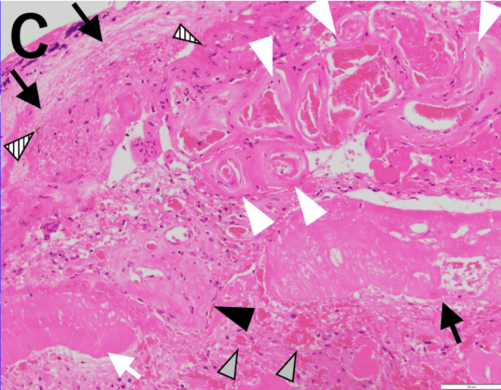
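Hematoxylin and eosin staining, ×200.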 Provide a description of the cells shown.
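This is a section through damaged tissue in which a crowd of abnormal blood vessels is packed together, their walls thick, pale pink and layered, some with wide lumens. Around them lie broad fields of pale pink tissue with few scattered nuclei, where cells have died, and patches filled with loose red blood cells from bleeding. Here and there the pink material is smooth and glassy.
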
